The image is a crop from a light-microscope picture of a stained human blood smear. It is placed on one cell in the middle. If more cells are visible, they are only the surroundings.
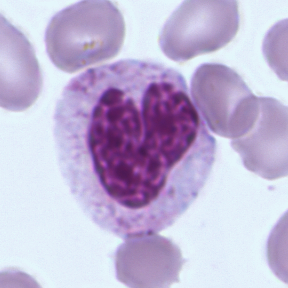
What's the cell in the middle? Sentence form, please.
The cell in the middle of the field of view is a band neutrophil.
